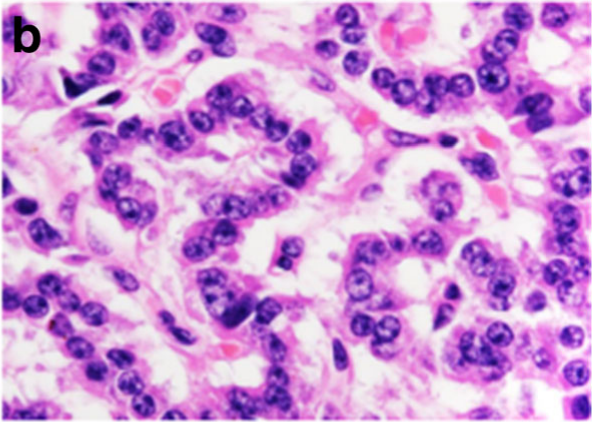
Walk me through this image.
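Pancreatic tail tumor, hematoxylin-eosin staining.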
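Nuclei are small, round to oval and fairly uniform, with finely speckled salt-and-pepper chromatin. The cytoplasm is pink and modest in amount. Between the cords lies pale, loose stroma with scattered red blood cells.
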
